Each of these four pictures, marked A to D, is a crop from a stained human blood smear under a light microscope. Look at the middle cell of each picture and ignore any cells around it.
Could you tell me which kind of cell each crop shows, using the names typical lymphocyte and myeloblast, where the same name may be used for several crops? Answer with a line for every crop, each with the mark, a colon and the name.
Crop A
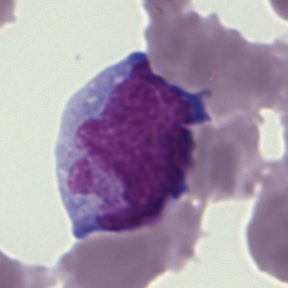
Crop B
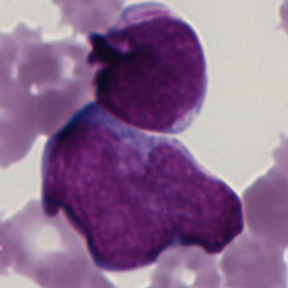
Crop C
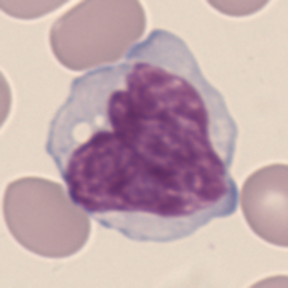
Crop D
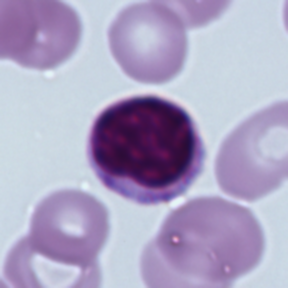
A: myeloblast
B: myeloblast
C: myeloblast
D: typical lymphocyte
